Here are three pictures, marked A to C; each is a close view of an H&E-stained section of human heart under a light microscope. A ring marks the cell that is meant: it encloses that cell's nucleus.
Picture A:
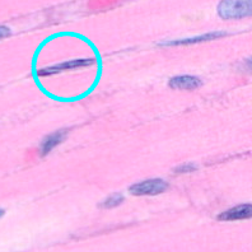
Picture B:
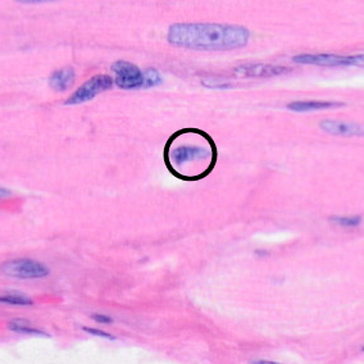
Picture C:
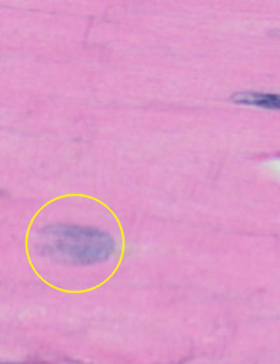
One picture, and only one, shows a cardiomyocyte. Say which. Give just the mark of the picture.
C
